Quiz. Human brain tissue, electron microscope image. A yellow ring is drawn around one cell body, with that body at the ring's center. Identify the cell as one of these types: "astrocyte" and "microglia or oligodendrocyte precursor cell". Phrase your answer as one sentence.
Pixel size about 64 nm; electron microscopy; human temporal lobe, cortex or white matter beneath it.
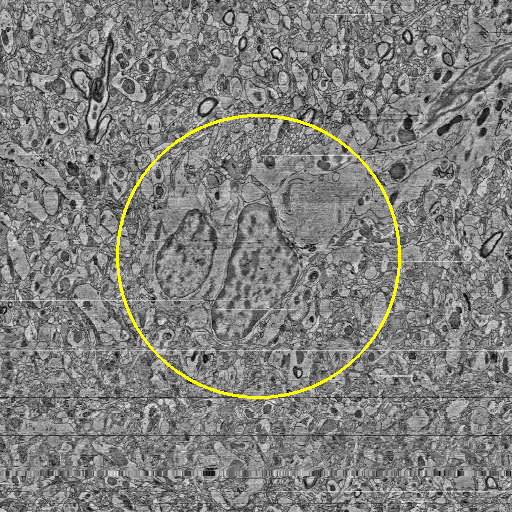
At the center of the ring sits a microglial cell or oligodendrocyte precursor cell.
